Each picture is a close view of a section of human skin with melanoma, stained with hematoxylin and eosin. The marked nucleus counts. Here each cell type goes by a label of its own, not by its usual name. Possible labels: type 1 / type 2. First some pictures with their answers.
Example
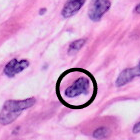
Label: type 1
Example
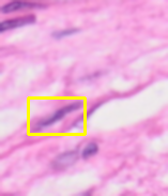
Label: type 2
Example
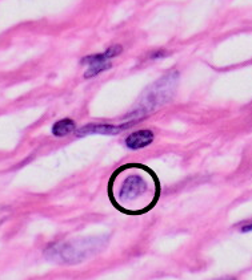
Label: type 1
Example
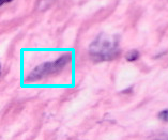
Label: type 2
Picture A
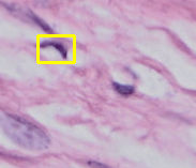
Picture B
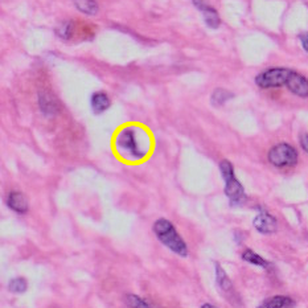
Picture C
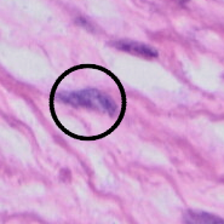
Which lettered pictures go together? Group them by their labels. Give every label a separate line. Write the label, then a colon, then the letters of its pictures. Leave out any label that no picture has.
type 2: A, B, C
